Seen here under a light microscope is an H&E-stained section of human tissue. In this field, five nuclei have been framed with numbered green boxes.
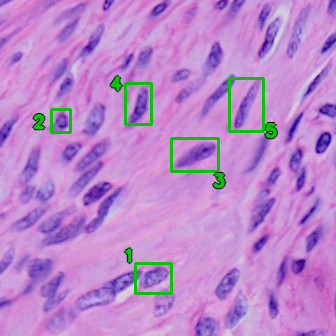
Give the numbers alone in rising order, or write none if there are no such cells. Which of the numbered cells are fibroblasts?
3, 5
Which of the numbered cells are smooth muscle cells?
2, 4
